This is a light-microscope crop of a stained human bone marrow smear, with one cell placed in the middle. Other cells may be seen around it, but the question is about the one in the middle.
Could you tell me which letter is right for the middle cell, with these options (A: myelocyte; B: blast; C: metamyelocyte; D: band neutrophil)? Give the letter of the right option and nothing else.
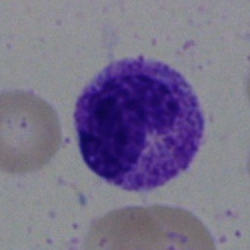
C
